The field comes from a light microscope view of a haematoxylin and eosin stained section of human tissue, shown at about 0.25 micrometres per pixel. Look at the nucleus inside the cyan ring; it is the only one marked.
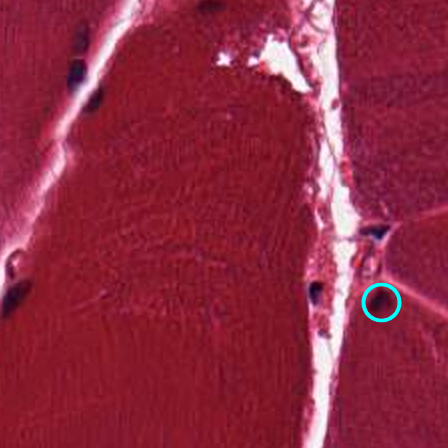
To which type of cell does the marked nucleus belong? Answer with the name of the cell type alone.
skeletal muscle fibre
